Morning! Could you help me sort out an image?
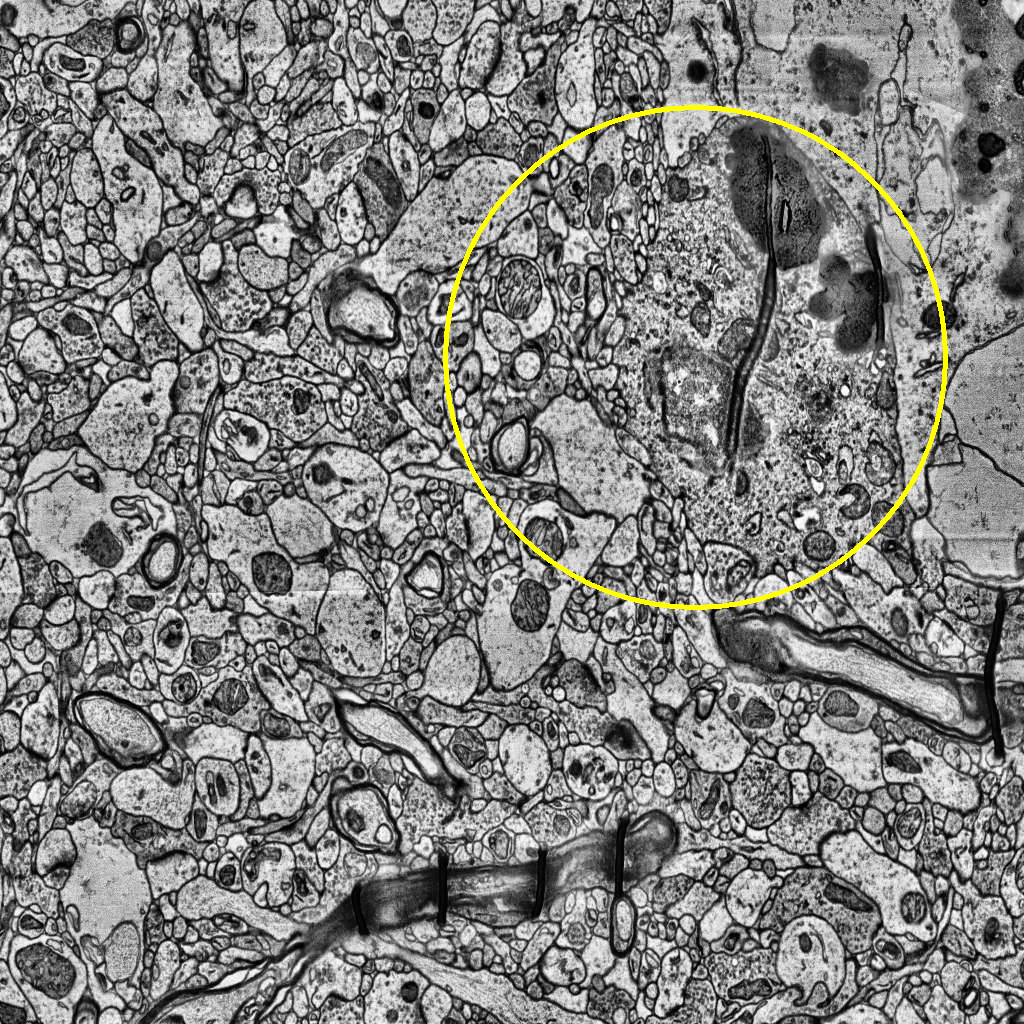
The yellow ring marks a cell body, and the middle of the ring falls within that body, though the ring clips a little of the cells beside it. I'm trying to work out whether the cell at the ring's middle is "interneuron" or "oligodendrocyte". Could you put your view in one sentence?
The cell body at the ring's middle is that of an oligodendrocyte.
